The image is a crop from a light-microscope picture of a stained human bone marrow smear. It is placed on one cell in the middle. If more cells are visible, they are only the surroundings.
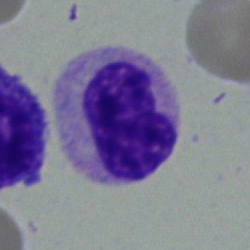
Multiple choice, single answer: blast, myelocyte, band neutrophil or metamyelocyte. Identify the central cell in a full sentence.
The crop's centre is taken up by a band neutrophil.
